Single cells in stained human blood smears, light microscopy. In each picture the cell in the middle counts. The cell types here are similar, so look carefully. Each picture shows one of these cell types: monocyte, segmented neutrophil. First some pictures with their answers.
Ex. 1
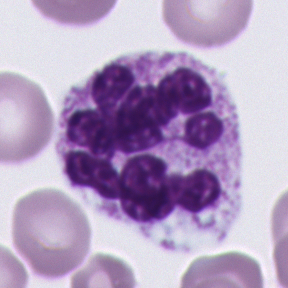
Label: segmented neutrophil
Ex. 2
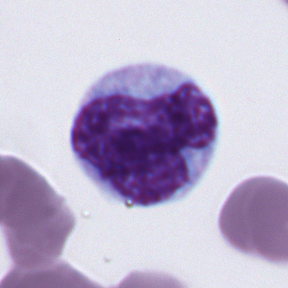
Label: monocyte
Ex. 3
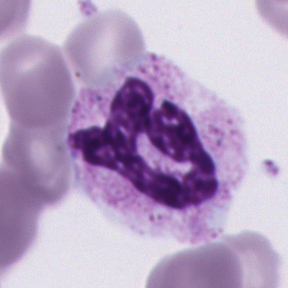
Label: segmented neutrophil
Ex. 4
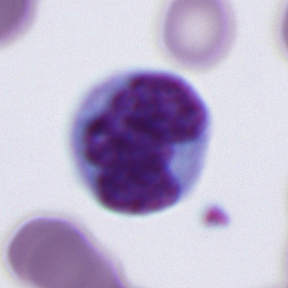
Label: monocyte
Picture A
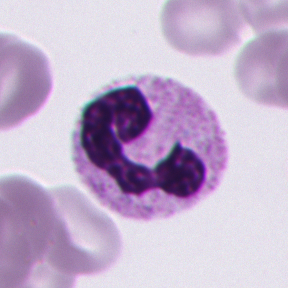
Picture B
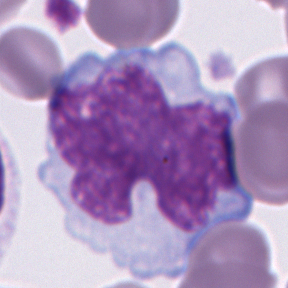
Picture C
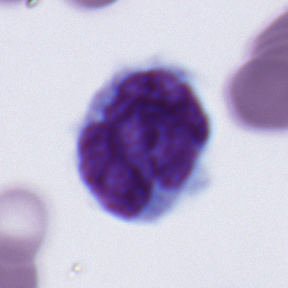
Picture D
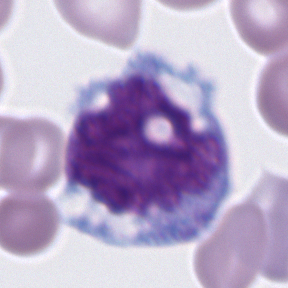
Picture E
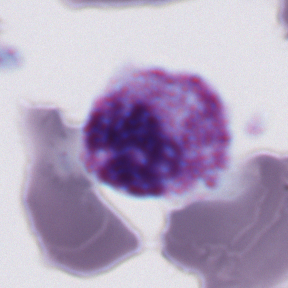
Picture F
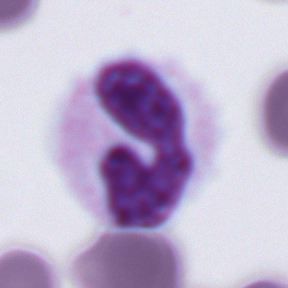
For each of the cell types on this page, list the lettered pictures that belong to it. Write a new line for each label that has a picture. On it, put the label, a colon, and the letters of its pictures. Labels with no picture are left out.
monocyte: B, C, D
segmented neutrophil: A, E, F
